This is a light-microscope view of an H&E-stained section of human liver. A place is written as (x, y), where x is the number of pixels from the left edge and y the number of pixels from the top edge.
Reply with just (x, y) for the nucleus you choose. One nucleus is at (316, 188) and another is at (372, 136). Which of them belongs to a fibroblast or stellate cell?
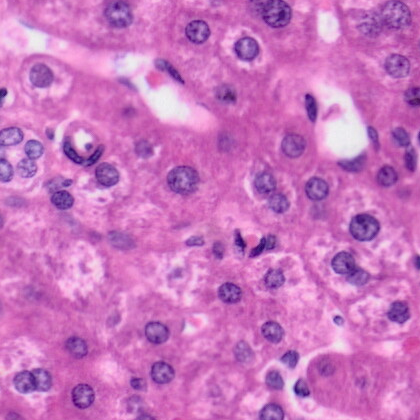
(372, 136)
